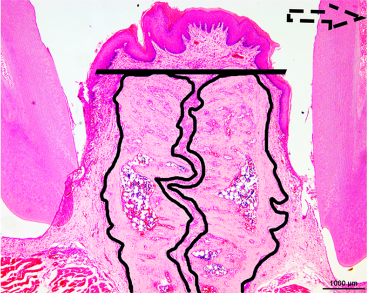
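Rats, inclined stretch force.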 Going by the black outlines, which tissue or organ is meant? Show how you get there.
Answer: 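Maxillae. Two bone blocks outlined in black lie side by side between two large teeth. A narrow gap separates the two outlined blocks.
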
